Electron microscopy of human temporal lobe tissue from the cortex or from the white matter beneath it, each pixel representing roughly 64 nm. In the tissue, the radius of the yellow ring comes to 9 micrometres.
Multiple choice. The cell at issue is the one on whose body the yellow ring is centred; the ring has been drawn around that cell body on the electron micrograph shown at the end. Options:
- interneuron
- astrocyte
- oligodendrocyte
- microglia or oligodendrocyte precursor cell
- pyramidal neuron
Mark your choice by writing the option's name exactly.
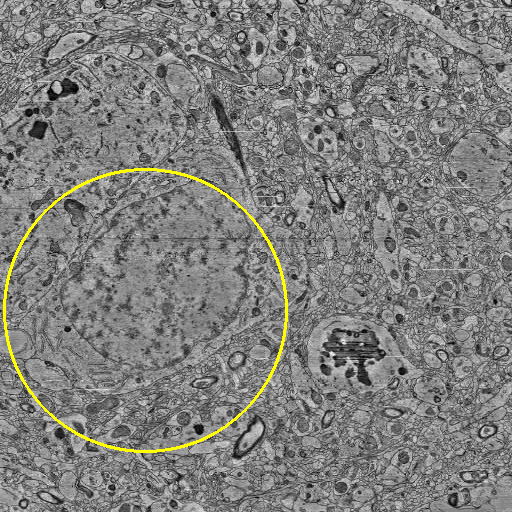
interneuron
